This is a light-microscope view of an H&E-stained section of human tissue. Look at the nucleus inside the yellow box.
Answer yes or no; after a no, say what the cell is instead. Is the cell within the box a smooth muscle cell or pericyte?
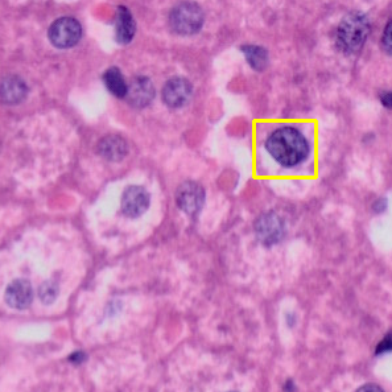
No, it is a hepatocyte.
